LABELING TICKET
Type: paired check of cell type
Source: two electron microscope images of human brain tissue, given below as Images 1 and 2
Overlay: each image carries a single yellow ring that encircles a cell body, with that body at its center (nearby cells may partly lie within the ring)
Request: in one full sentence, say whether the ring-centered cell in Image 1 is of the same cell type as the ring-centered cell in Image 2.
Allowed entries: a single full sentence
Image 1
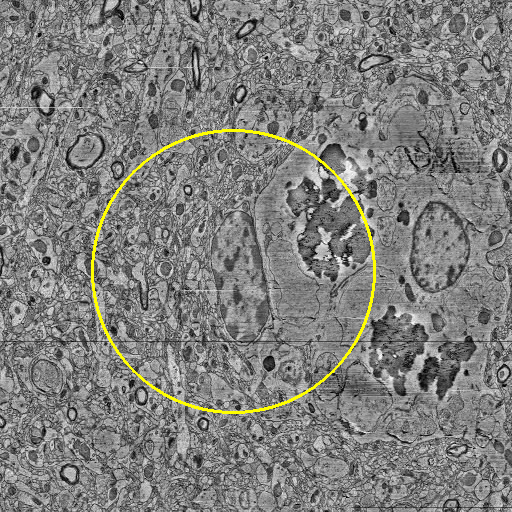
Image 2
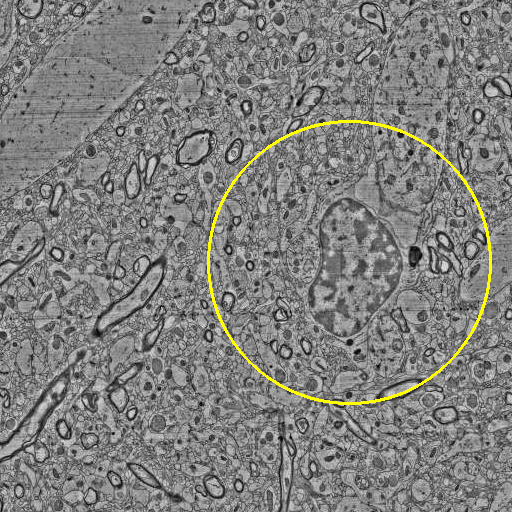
Yes, the cells centered in the rings of Image 1 and Image 2 share one type.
